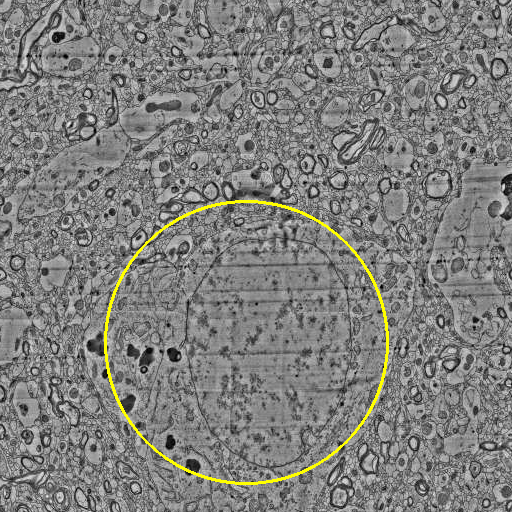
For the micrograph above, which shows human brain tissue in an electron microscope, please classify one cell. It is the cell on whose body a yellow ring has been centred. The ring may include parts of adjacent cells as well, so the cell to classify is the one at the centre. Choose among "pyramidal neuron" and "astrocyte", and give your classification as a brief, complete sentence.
I classify this cell as a pyramidal neuron.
